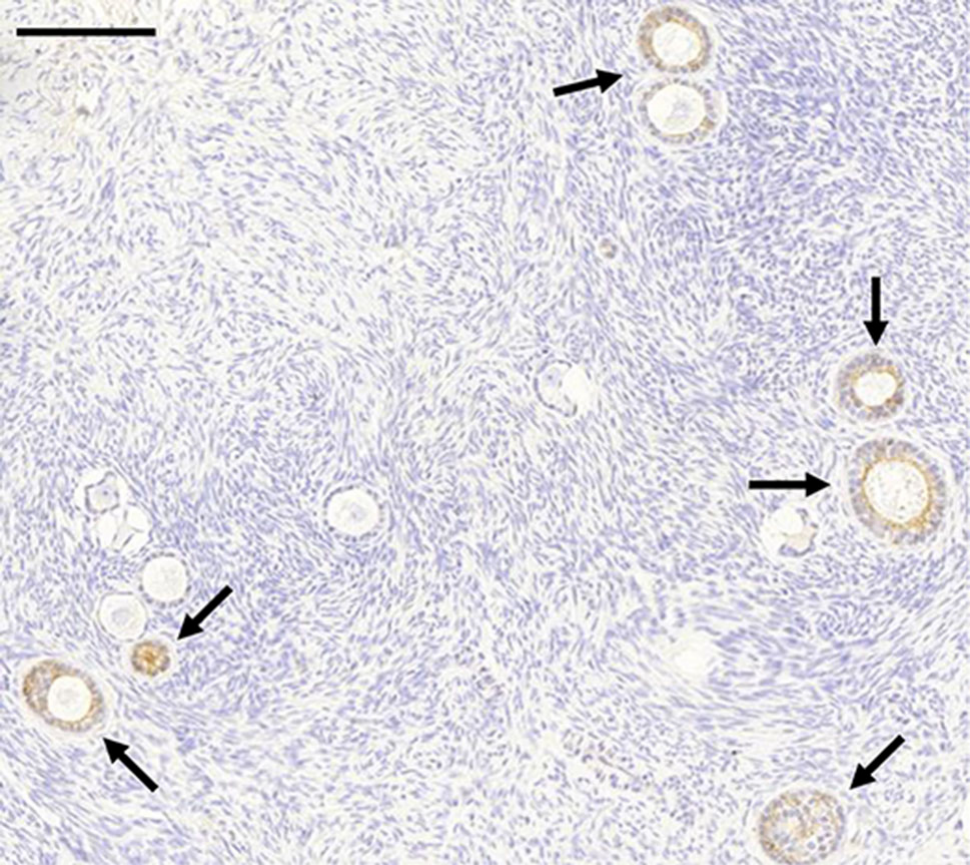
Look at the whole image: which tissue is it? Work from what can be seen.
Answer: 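Densely packed spindle-shaped stromal cells in swirling bundles.
Answer: ovarian cortex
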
